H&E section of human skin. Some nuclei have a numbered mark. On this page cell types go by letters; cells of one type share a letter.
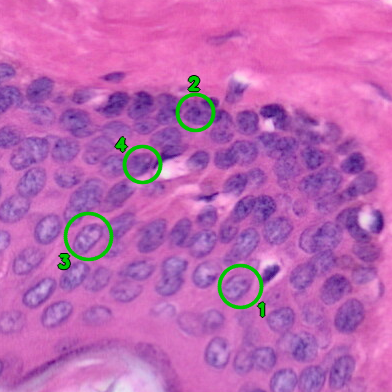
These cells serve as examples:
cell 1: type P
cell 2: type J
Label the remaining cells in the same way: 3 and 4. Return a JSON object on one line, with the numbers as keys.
{"3": "type P", "4": "type J"}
